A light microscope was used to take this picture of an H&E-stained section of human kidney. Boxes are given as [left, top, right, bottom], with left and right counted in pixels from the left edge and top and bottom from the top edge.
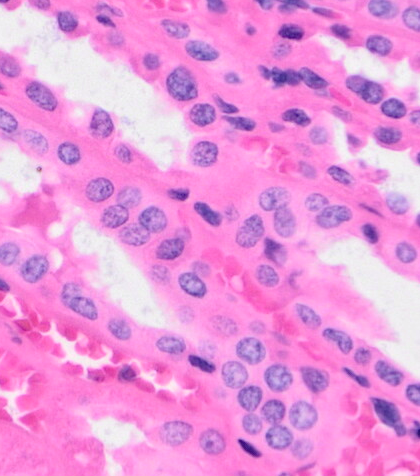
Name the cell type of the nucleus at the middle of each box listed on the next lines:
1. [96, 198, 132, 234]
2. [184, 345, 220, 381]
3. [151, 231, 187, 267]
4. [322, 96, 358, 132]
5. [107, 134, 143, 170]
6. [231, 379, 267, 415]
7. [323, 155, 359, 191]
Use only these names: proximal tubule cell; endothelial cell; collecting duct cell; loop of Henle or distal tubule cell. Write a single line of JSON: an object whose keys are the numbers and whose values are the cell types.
{"1": "collecting duct cell", "2": "collecting duct cell", "3": "collecting duct cell", "4": "loop of Henle or distal tubule cell", "5": "loop of Henle or distal tubule cell", "6": "collecting duct cell", "7": "loop of Henle or distal tubule cell"}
